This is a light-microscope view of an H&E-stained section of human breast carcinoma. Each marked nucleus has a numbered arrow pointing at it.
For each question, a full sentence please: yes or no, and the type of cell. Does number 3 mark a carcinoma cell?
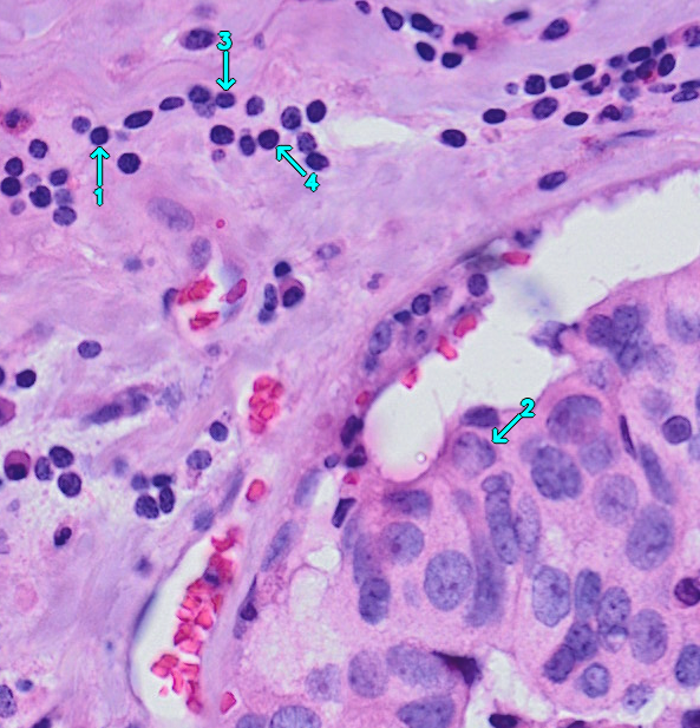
No, cell number 3 is a lymphocyte; it is not a carcinoma cell.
